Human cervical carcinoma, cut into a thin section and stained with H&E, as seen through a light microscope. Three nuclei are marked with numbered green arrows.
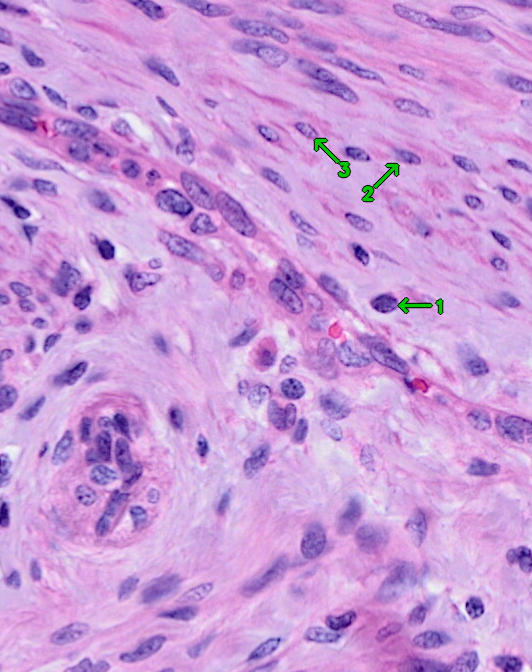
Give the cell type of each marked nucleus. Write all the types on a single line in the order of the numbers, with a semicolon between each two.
lymphocyte; smooth muscle cell; smooth muscle cell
